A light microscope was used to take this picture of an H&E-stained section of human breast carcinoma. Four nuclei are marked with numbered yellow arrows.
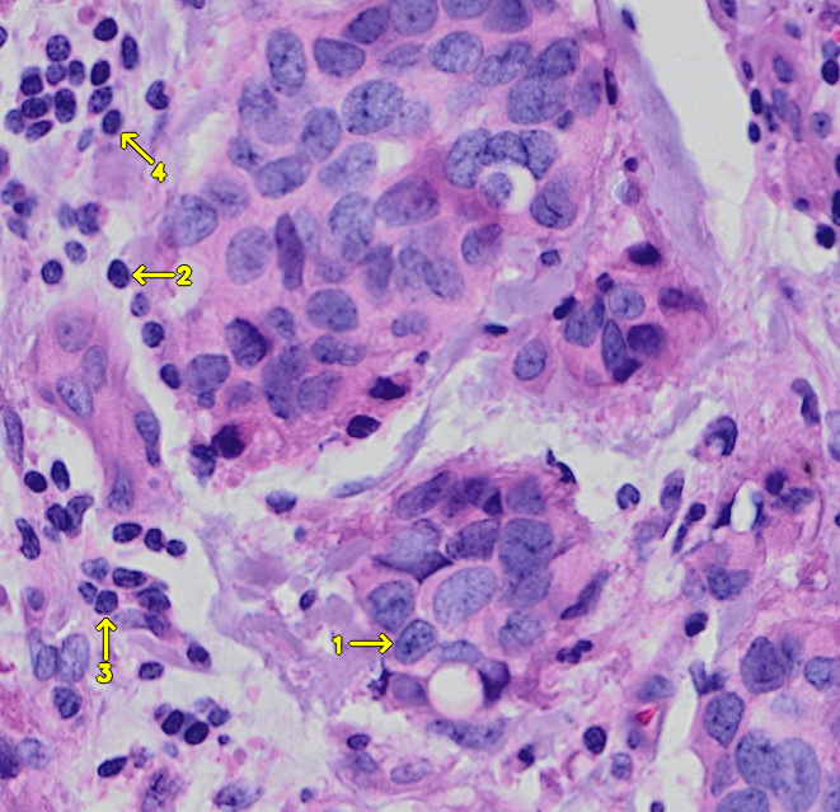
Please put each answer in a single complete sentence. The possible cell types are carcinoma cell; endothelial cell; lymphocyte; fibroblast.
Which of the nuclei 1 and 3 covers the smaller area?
It is nucleus 3; nucleus 1 has about 2.5 times its area.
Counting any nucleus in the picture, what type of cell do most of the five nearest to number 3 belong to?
Lymphocytes account for more than half of the five nuclei nearest to number 3.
